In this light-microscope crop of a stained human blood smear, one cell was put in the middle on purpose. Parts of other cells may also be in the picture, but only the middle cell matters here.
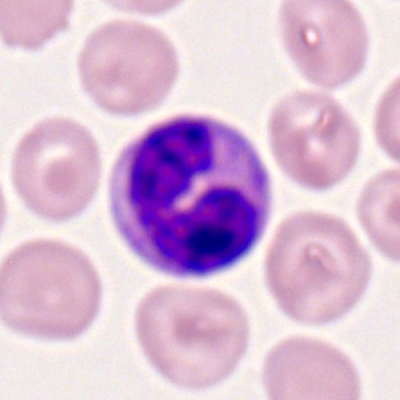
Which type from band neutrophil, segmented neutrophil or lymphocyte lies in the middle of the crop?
segmented neutrophil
